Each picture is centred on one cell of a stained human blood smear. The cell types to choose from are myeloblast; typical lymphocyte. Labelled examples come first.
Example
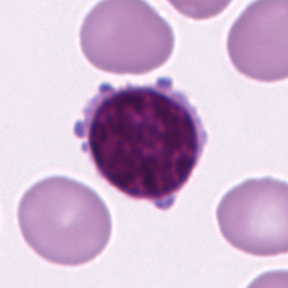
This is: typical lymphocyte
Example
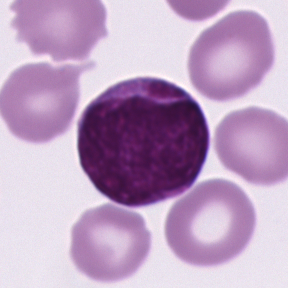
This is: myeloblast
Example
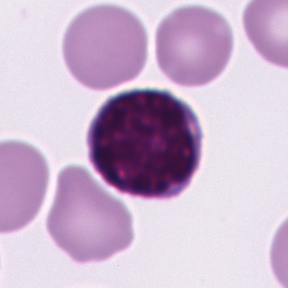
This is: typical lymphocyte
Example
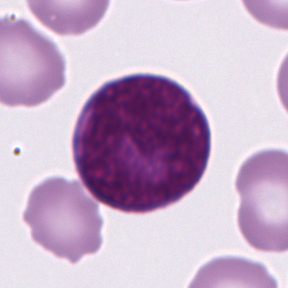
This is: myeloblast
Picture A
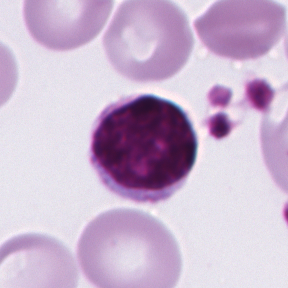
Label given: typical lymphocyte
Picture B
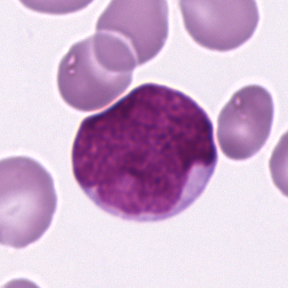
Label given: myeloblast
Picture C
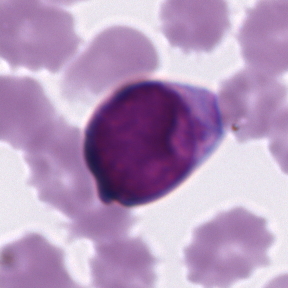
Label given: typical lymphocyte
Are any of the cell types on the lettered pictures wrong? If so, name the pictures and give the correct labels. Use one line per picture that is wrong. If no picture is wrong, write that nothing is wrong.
C: myeloblast, not typical lymphocyte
